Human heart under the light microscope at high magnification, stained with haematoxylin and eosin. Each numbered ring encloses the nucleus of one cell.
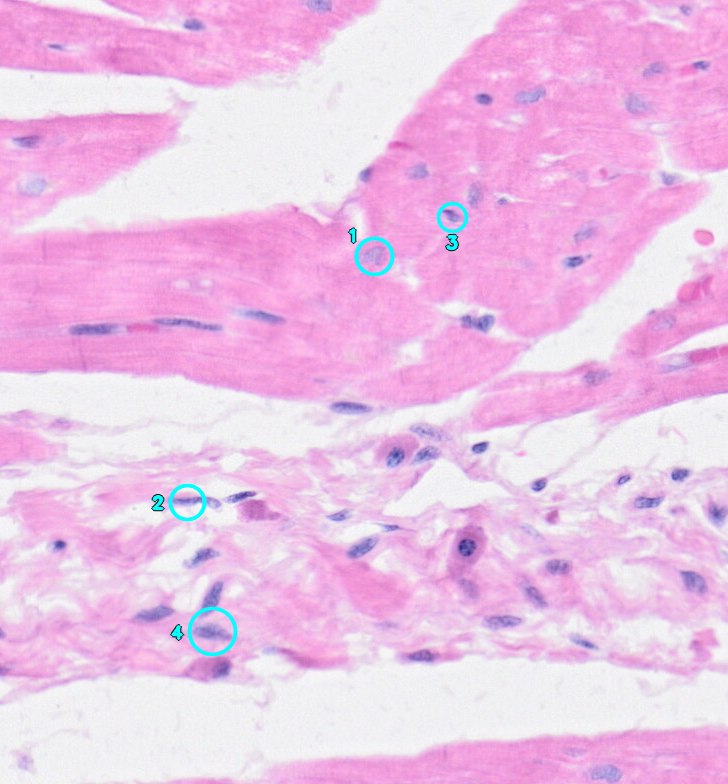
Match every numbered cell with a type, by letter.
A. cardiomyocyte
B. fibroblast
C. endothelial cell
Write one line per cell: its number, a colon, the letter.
1: A
2: B
3: C
4: B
